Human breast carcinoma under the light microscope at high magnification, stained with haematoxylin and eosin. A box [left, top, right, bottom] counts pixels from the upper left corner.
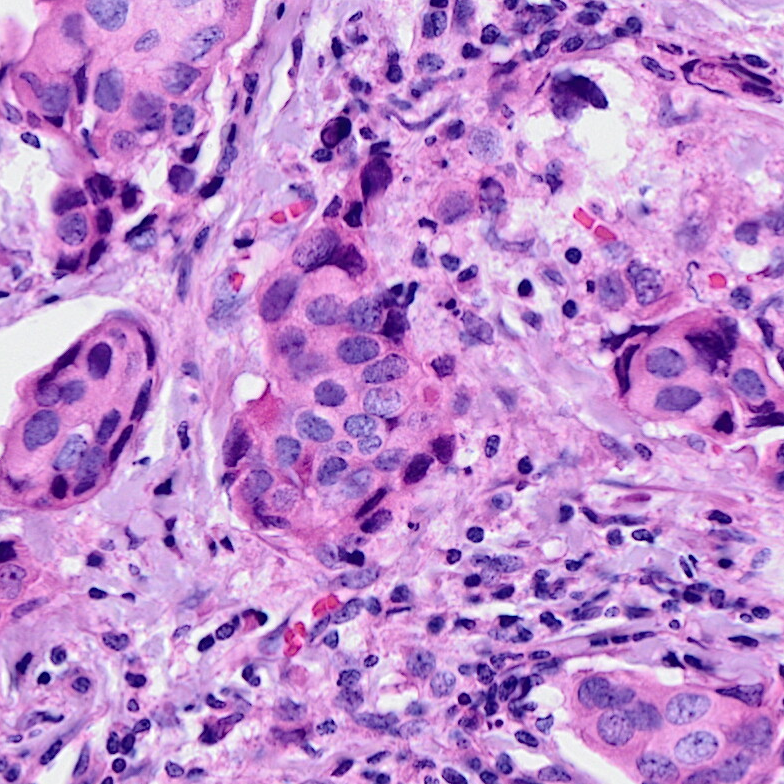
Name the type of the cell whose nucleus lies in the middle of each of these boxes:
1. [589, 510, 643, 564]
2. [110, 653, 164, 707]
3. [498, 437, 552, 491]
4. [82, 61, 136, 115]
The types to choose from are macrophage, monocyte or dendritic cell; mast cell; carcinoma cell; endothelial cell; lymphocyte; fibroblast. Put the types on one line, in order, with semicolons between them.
lymphocyte; lymphocyte; lymphocyte; carcinoma cell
